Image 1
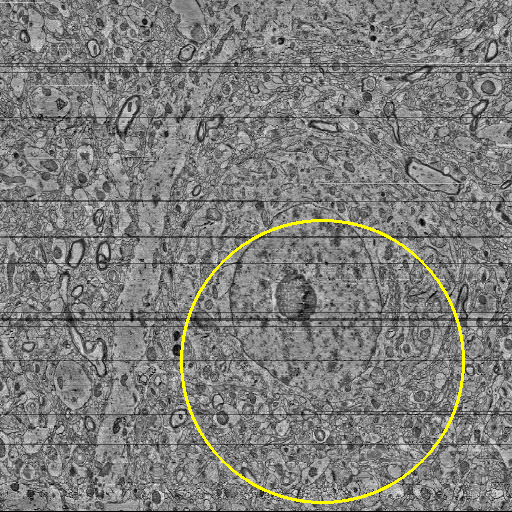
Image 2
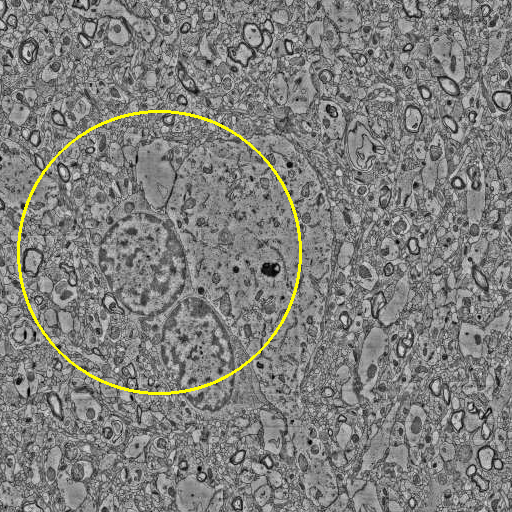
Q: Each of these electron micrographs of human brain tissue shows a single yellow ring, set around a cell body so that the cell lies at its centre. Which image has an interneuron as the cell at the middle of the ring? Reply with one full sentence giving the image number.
In image 1, the cell lying at the ring's centre is the requested one.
